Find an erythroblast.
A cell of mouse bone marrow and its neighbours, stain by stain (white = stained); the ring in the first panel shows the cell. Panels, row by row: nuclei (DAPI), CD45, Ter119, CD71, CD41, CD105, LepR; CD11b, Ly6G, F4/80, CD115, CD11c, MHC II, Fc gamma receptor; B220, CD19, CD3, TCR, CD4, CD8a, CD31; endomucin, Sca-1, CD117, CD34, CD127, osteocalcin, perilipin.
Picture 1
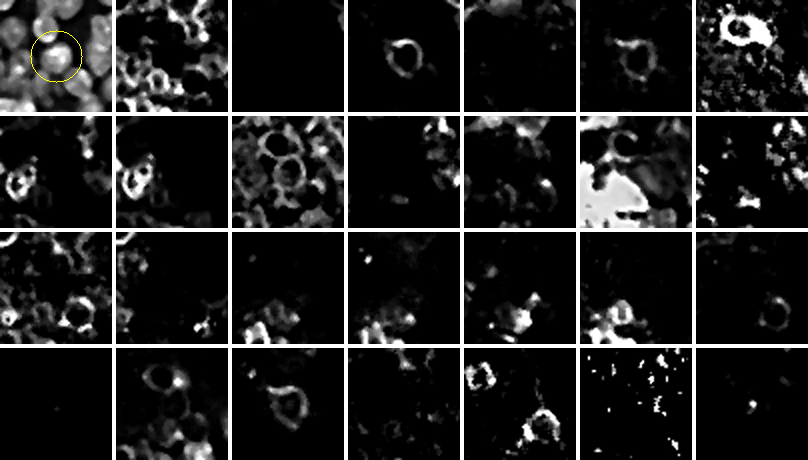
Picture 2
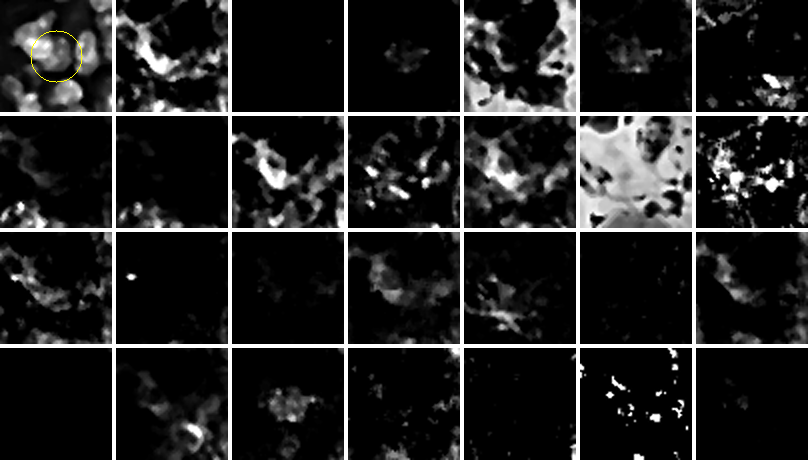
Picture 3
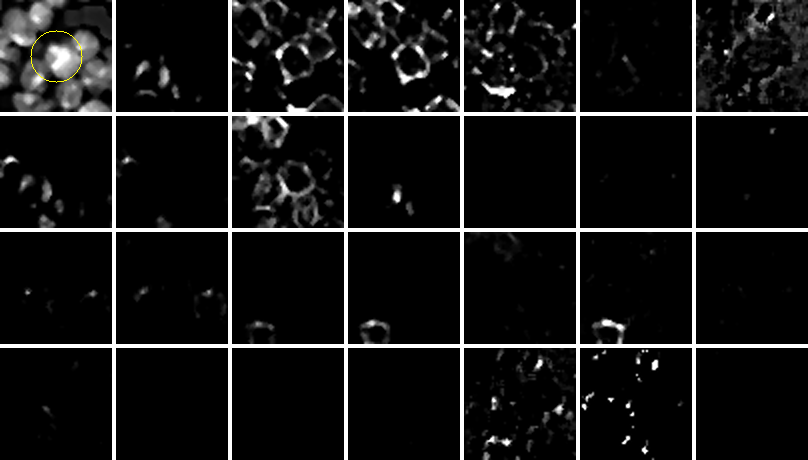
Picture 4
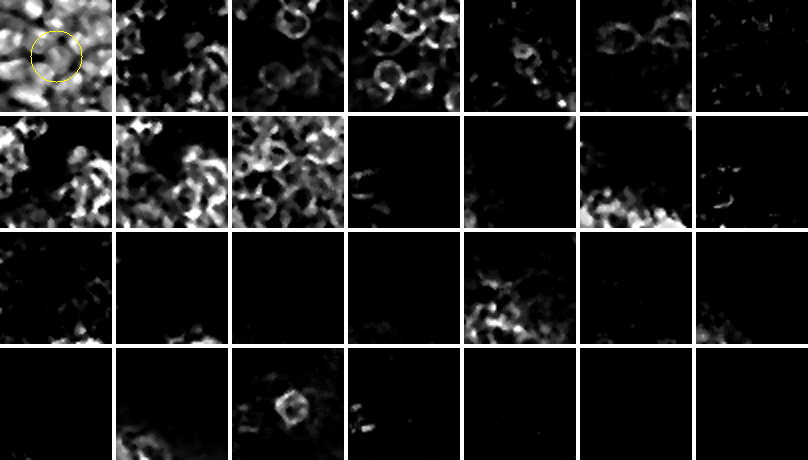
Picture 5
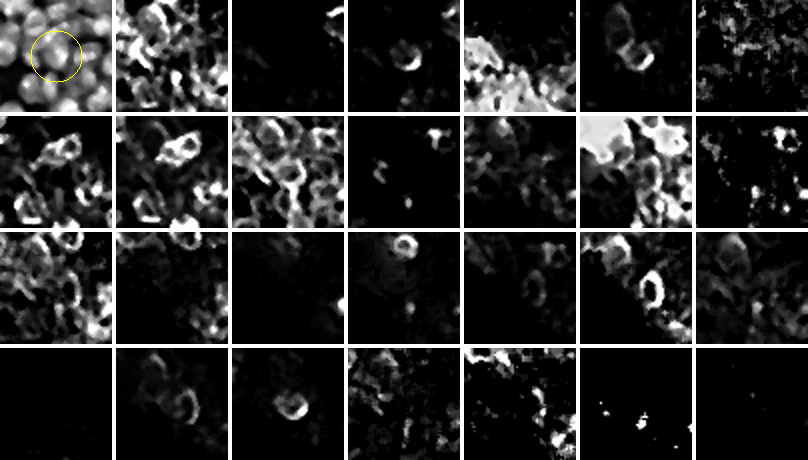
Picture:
3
